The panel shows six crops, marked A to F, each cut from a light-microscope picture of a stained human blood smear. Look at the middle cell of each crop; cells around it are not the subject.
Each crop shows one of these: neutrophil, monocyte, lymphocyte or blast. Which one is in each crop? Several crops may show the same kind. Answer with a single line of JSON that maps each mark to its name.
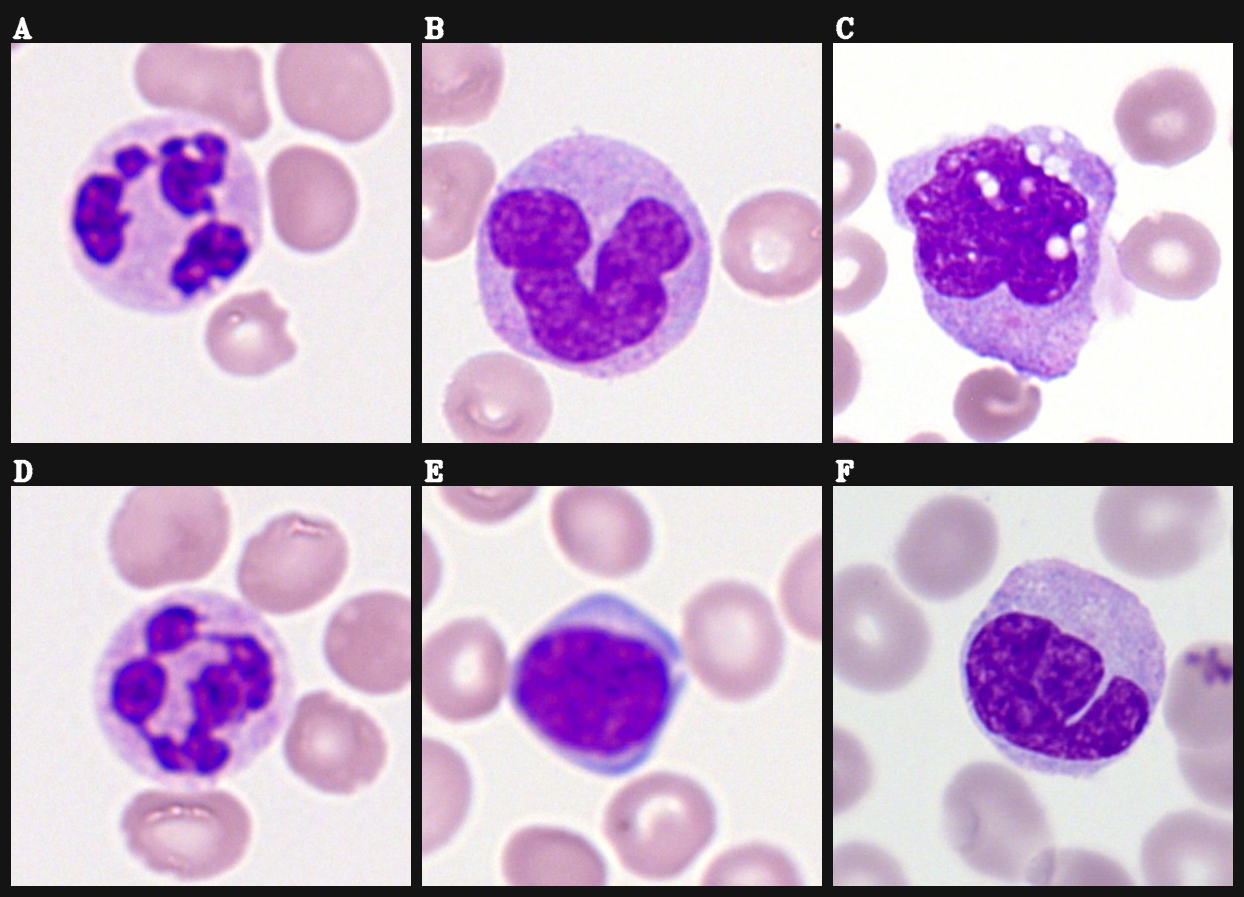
{"A": "neutrophil", "B": "monocyte", "C": "monocyte", "D": "neutrophil", "E": "lymphocyte", "F": "monocyte"}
